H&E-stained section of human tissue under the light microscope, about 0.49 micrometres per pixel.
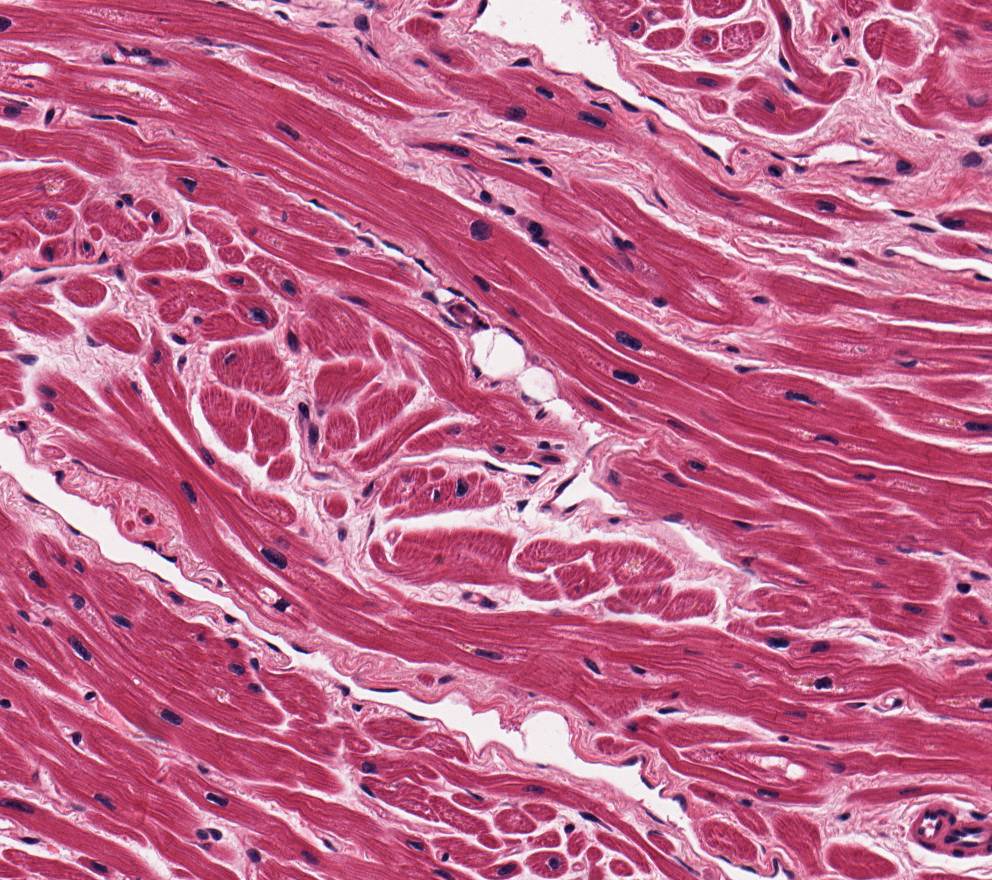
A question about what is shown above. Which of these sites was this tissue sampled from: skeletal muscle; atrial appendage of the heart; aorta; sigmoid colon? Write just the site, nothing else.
atrial appendage of the heart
